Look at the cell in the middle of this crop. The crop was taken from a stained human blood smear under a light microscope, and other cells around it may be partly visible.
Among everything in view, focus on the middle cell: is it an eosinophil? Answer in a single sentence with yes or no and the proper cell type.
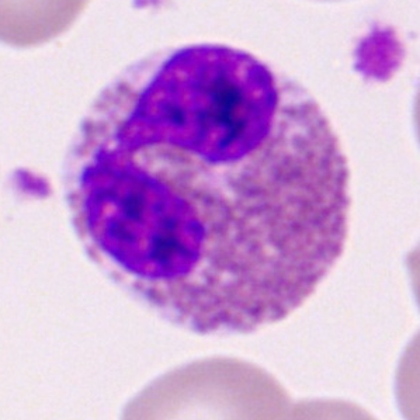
Yes, the centrally placed cell is an eosinophil.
